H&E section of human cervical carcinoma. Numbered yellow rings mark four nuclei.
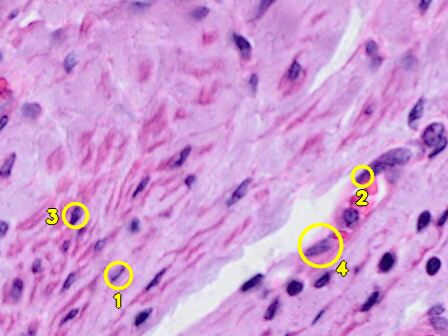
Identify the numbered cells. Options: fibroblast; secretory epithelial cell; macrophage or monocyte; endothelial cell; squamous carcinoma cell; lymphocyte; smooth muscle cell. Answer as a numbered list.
1. smooth muscle cell
2. endothelial cell
3. smooth muscle cell
4. endothelial cell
